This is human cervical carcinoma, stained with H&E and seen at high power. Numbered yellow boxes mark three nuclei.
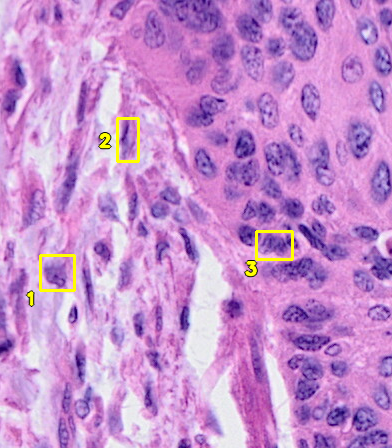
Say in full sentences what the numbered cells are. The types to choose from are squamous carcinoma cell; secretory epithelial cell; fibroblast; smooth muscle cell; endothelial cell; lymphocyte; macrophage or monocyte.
Cells 1 and 2 are fibroblasts. Cell 3 is a squamous carcinoma cell.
